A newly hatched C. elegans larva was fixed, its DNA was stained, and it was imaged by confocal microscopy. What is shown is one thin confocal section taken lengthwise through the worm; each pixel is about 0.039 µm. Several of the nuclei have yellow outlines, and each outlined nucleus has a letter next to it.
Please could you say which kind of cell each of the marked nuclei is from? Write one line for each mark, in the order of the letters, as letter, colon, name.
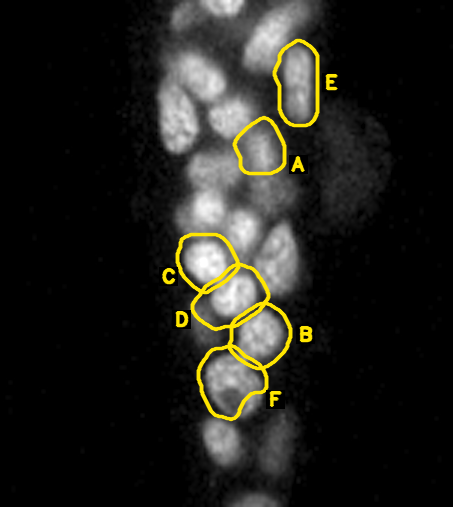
A: neuron
B: neuron
C: neuron
D: glial cell (sheath or socket)
E: rectal epithelial cell
F: seam cell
